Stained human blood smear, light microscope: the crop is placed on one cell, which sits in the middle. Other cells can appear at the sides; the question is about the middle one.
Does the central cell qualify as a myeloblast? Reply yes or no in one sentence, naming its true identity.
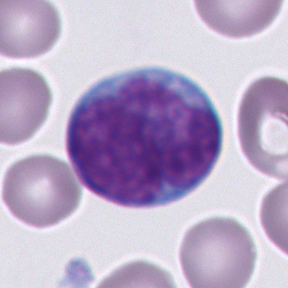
Yes, the centrally placed cell is a myeloblast.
